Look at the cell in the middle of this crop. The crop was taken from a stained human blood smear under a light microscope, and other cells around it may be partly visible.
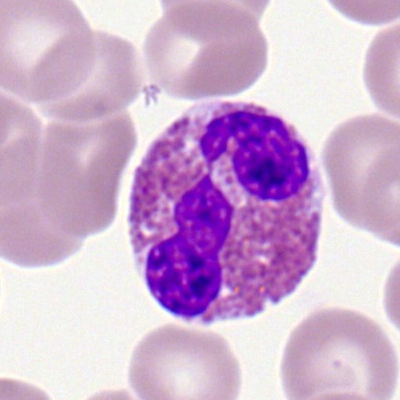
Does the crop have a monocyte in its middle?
no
